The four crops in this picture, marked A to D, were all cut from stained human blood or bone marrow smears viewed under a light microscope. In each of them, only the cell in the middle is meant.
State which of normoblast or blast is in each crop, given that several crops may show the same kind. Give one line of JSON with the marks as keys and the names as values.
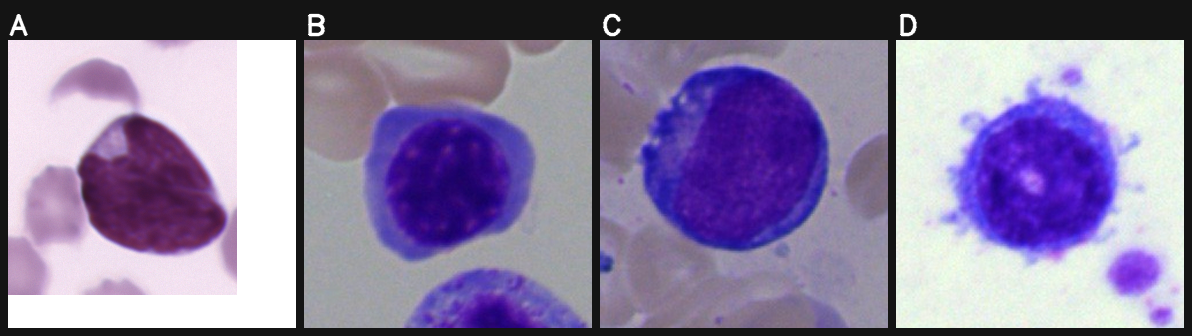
{"A": "blast", "B": "normoblast", "C": "blast", "D": "blast"}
